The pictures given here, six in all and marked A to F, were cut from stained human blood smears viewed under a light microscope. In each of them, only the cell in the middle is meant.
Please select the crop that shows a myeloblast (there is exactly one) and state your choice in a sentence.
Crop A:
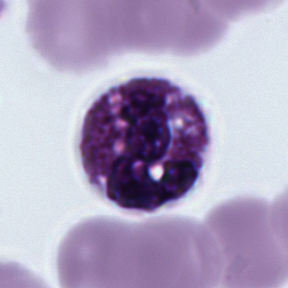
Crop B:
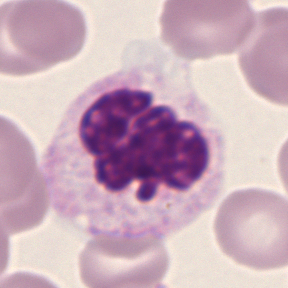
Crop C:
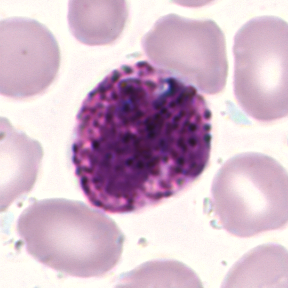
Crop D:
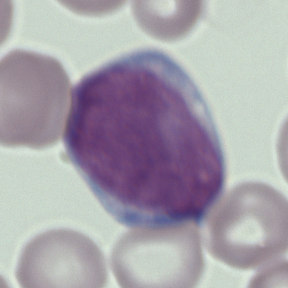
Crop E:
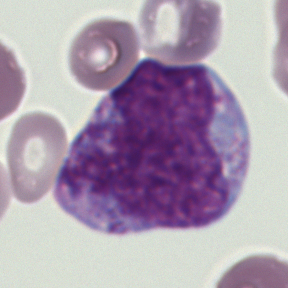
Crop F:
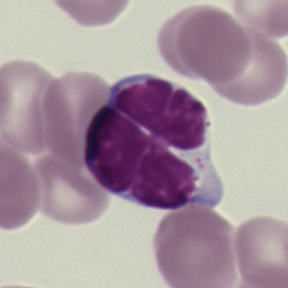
Crop D is the crop whose central cell is a myeloblast.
